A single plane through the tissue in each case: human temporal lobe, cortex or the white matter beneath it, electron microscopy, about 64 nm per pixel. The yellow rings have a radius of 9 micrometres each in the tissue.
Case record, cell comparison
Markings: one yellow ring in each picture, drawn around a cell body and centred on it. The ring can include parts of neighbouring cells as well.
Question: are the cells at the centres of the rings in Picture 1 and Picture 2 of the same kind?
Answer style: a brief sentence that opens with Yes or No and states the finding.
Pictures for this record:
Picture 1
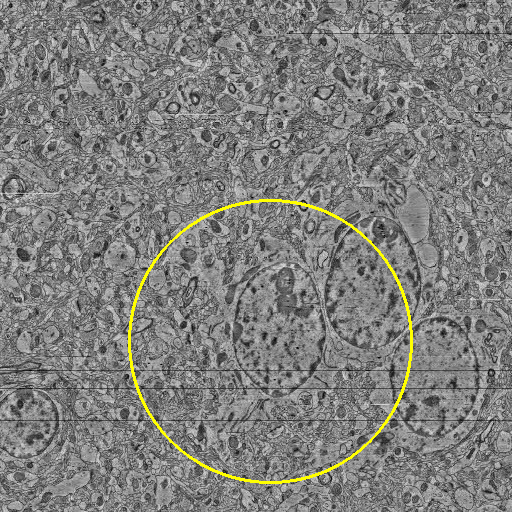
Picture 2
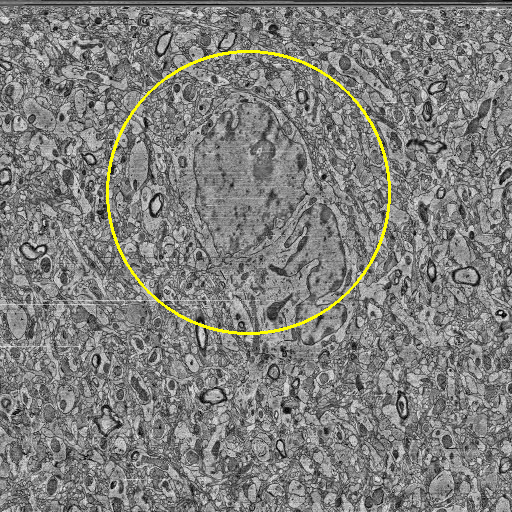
No, the cells in Picture 1 and Picture 2 are of two kinds.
